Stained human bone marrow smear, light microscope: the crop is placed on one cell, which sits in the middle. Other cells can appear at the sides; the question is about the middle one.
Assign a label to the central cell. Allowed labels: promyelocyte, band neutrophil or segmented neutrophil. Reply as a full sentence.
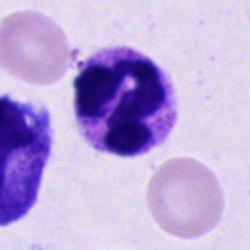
The cell at the middle of the frame should be recorded as a segmented neutrophil.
